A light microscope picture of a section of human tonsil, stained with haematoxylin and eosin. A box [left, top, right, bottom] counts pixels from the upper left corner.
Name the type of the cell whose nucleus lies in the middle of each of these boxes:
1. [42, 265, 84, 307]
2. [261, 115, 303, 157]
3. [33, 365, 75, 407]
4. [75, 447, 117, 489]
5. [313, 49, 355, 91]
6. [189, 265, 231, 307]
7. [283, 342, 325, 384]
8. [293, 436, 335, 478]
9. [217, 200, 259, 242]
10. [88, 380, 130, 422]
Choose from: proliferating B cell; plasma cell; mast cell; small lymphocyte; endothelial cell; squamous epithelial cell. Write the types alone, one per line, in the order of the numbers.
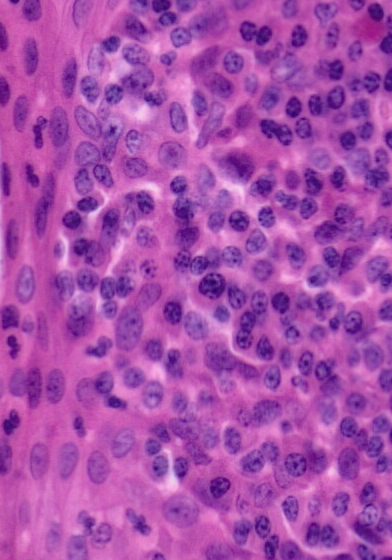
squamous epithelial cell
plasma cell
squamous epithelial cell
squamous epithelial cell
plasma cell
plasma cell
plasma cell
squamous epithelial cell
plasma cell
squamous epithelial cell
